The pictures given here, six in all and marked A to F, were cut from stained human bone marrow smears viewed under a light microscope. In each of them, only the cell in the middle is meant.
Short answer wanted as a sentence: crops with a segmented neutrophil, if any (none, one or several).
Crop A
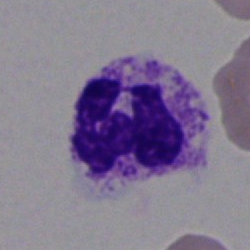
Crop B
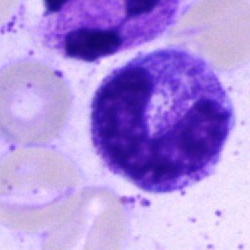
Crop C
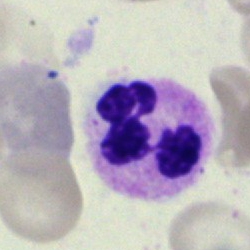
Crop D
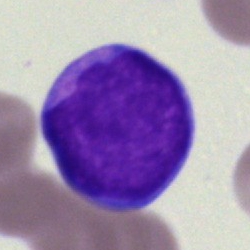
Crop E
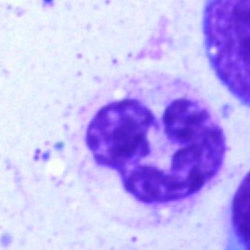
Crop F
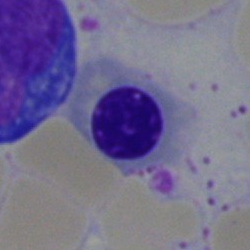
Crops A, C and E display segmented neutrophils in the centre of the field.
